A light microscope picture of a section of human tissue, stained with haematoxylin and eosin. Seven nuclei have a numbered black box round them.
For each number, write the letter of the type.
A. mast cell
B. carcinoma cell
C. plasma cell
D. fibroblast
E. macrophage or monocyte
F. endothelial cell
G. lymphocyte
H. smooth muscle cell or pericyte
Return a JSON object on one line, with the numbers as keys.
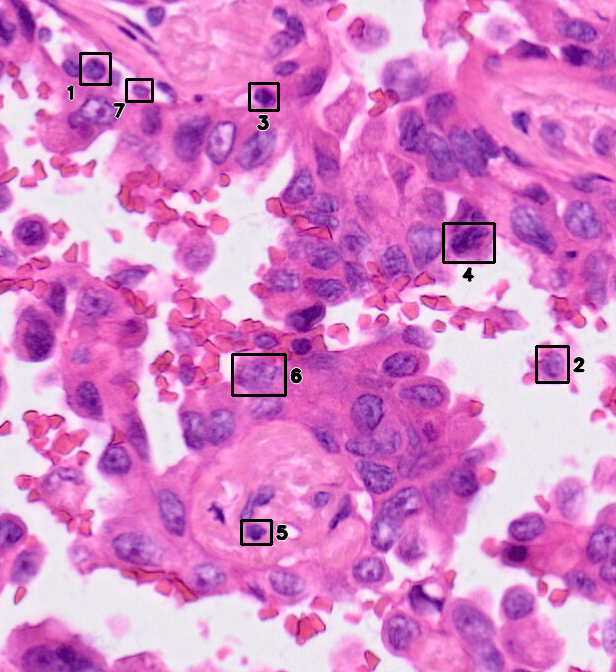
{"1": "G", "2": "E", "3": "G", "4": "B", "5": "G", "6": "B", "7": "G"}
